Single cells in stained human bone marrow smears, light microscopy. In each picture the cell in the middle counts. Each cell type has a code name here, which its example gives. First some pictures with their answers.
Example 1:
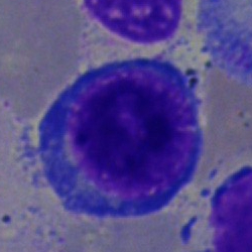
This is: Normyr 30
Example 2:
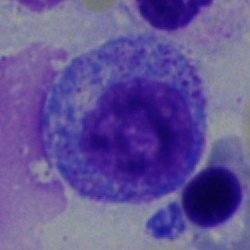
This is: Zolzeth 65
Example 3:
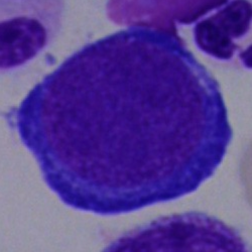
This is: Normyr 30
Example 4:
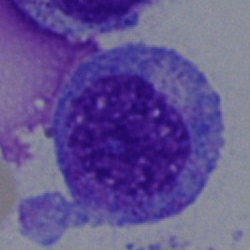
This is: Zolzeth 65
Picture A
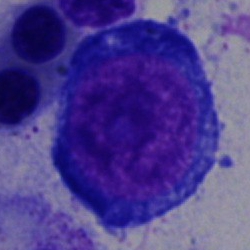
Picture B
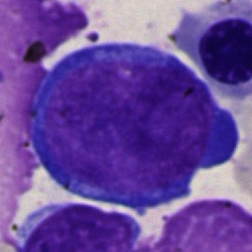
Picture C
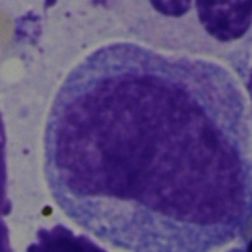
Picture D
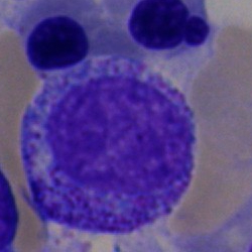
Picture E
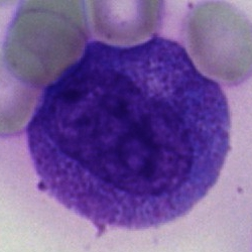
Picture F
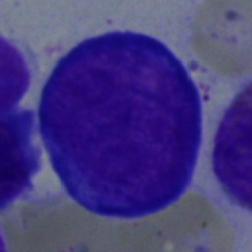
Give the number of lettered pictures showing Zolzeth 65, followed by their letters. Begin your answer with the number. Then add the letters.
3: C, D, E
